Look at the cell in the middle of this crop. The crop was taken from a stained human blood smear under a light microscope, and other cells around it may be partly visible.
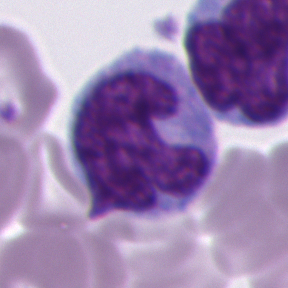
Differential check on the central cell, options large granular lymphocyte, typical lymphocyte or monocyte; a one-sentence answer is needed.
The cell around which this crop is centred is a monocyte.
